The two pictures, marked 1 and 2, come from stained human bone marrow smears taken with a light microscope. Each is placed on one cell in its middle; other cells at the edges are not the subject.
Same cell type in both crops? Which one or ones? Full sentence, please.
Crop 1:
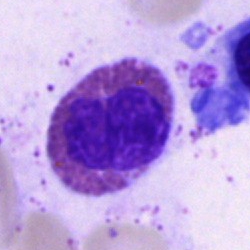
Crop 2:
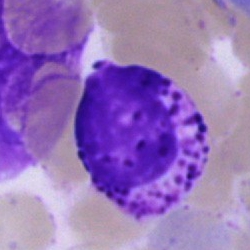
No, an eosinophil is the subject of crop 1, and a basophil is the subject of crop 2.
